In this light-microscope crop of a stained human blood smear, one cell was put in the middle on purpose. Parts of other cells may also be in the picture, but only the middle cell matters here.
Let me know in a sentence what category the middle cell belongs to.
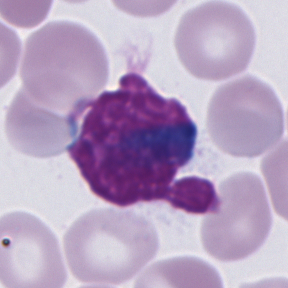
This crop has a smudge cell at its centre.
